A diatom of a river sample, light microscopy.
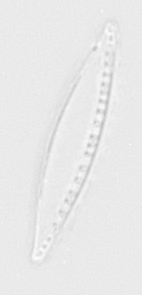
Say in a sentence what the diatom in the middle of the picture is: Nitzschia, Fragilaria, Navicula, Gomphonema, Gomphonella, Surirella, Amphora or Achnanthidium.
This is Nitzschia.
